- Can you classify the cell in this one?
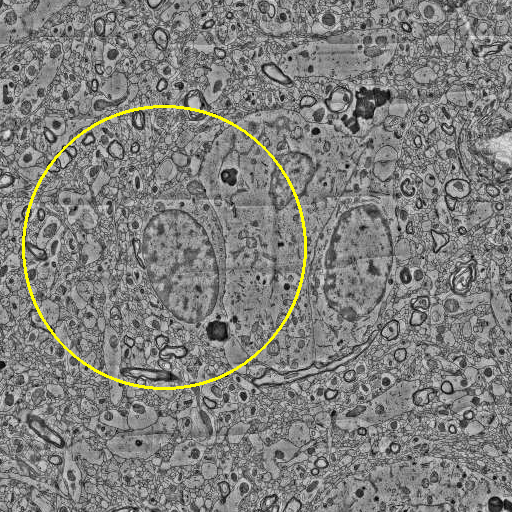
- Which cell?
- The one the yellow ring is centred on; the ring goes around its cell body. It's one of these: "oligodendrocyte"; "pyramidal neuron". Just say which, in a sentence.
The cell body in the ring belongs to an oligodendrocyte.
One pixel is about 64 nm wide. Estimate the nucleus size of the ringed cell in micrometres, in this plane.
Roughly 7 micrometres by 5 micrometres, in this plane.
